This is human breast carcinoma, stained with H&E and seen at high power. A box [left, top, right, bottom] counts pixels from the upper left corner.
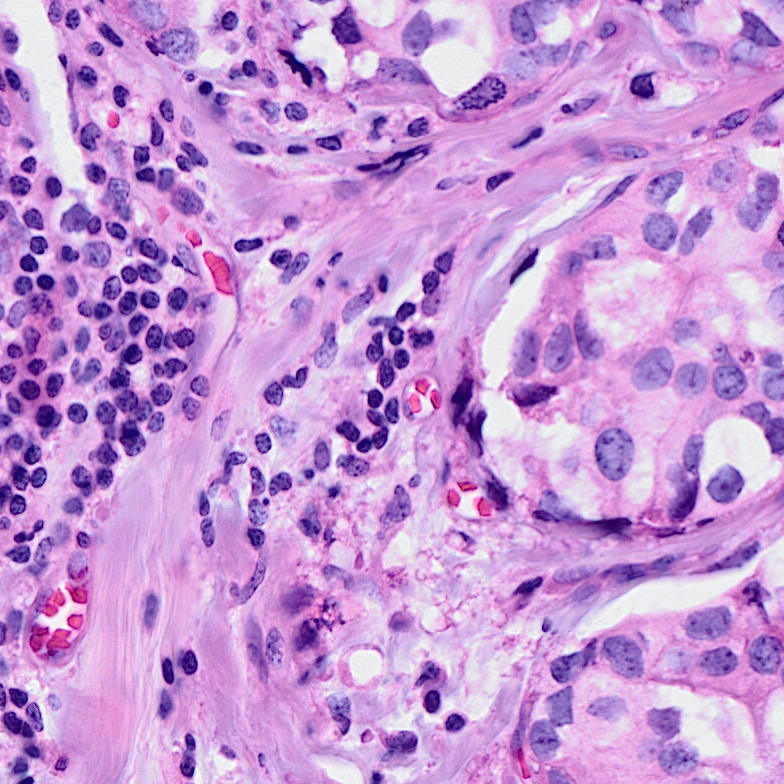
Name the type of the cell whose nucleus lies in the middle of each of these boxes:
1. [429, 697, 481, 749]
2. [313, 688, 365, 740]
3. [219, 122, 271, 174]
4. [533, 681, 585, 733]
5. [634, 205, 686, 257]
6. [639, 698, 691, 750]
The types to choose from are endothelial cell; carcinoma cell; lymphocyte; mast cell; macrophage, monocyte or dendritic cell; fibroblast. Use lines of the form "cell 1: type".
cell 1: lymphocyte
cell 2: fibroblast
cell 3: lymphocyte
cell 4: carcinoma cell
cell 5: carcinoma cell
cell 6: carcinoma cell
